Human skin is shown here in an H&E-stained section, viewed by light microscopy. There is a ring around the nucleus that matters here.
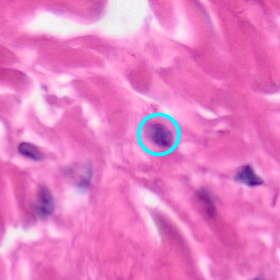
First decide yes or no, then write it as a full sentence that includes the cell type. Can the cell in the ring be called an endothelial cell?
No, write a fibroblast for the cell in the ring rather than an endothelial cell.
